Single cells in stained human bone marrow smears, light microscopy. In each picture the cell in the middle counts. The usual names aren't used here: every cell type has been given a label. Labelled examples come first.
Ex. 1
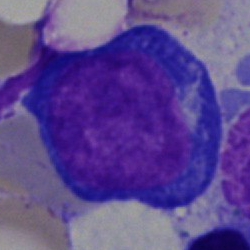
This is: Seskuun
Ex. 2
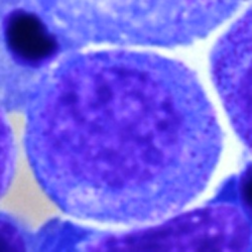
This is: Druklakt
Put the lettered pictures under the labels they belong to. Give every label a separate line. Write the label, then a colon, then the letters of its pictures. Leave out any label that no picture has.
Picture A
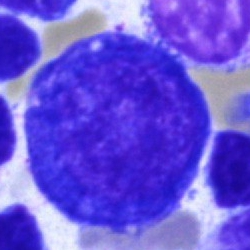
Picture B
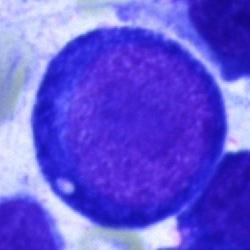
Seskuun: A, B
